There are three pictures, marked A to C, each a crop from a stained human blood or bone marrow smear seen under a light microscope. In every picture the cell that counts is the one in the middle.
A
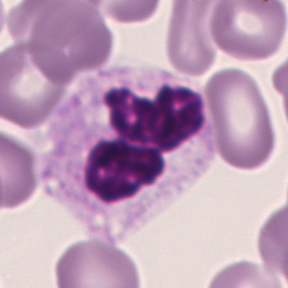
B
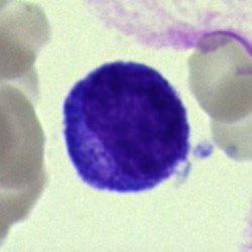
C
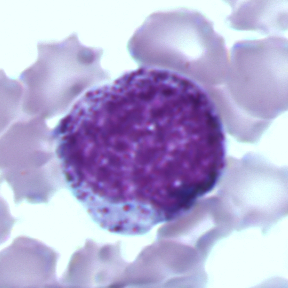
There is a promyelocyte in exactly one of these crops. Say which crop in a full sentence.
On review of the set, crop B is the one showing a promyelocyte.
